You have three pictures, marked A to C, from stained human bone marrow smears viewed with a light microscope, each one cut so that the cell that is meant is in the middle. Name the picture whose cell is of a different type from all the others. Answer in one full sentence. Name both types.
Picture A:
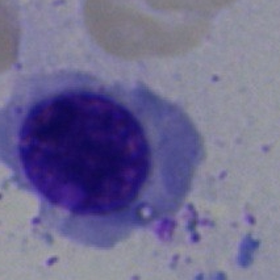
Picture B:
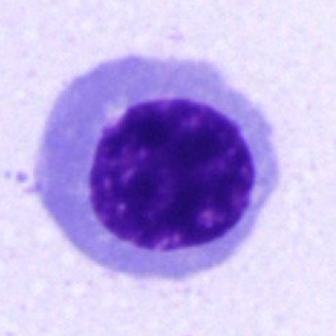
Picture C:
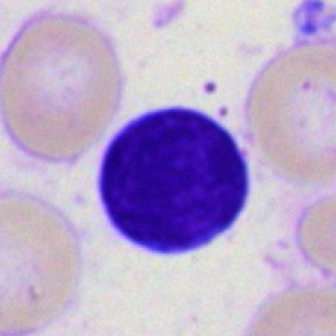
Picture C differs, because its cell is a lymphocyte and the rest are erythroblasts.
